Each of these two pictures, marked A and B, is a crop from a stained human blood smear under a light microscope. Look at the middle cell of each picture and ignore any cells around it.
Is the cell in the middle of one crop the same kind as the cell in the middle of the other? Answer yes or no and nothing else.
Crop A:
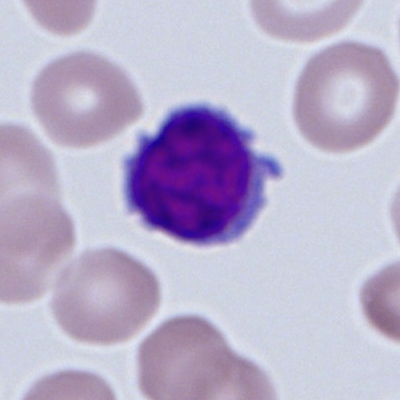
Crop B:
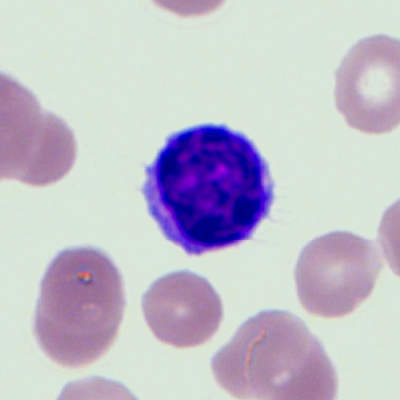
yes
